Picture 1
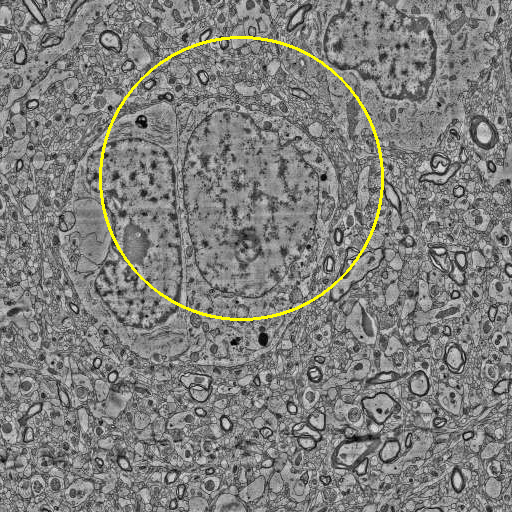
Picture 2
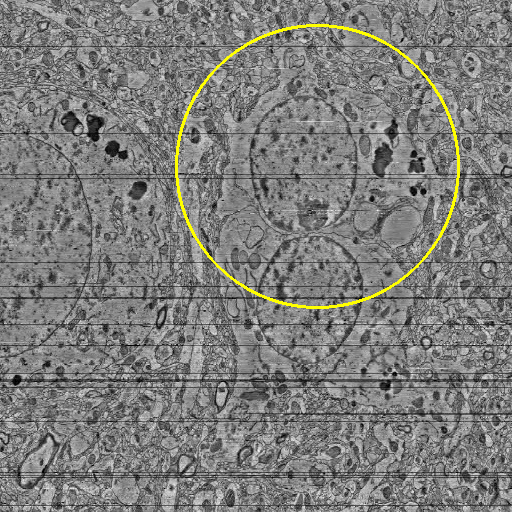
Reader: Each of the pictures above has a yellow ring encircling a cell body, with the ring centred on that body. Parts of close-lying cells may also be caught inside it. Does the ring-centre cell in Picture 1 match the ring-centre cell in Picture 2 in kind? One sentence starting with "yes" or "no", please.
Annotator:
No, Picture 1 and Picture 2 show ring-centre cells of two kinds.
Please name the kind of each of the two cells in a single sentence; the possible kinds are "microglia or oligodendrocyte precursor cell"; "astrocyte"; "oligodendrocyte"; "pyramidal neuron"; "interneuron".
In the first picture the ring is centred on a pyramidal neuron, and in the second on an astrocyte.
